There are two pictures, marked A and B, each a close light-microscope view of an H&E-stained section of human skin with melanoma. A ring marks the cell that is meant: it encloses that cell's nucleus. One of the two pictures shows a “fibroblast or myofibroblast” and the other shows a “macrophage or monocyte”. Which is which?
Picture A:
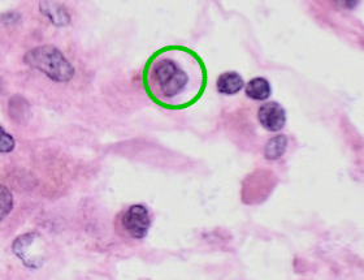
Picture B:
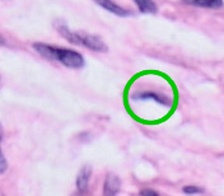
A: macrophage or monocyte
B: fibroblast or myofibroblast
